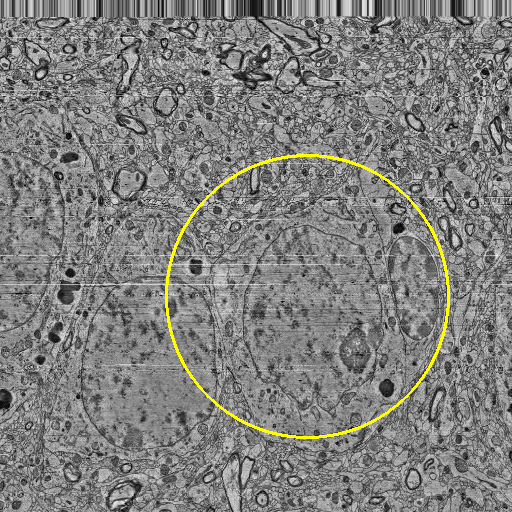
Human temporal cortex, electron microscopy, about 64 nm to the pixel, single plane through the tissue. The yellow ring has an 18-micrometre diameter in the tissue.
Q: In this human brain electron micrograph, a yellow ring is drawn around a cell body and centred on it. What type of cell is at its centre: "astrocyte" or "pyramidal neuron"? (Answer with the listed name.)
pyramidal neuron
